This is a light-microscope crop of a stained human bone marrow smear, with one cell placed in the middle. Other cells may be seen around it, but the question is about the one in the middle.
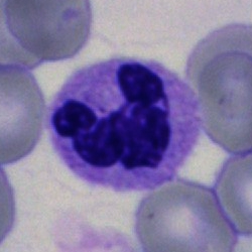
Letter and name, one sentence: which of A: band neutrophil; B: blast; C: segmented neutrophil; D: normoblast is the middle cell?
The middle of the crop holds a segmented neutrophil, which points to option C.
